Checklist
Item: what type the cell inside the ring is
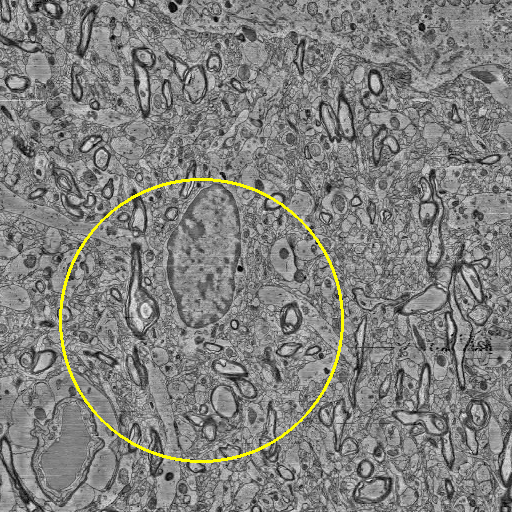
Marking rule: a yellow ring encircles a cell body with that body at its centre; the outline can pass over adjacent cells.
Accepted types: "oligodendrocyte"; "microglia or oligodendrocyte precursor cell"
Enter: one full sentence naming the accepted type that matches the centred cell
The entry is that a microglial cell or oligodendrocyte precursor cell lies at the centre of the yellow ring.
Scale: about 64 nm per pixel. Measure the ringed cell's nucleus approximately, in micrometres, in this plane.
About 9 by 5 micrometers; the nucleus is clearly longer than it is wide in this plane.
